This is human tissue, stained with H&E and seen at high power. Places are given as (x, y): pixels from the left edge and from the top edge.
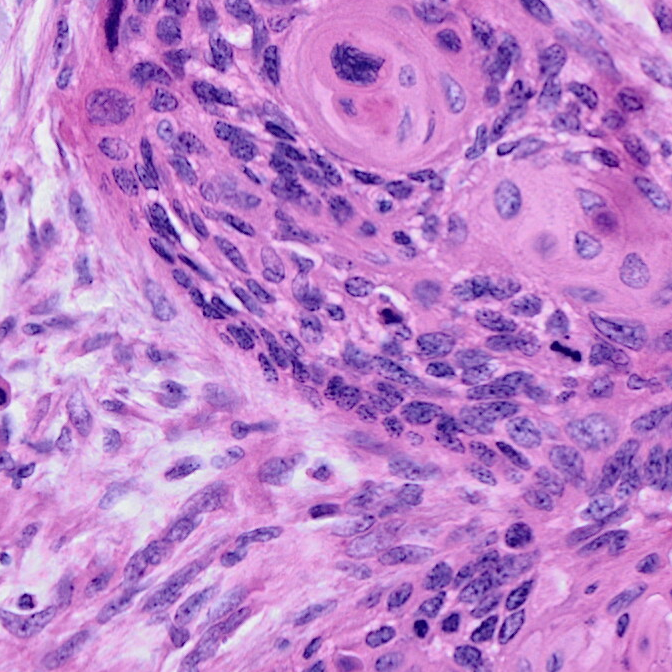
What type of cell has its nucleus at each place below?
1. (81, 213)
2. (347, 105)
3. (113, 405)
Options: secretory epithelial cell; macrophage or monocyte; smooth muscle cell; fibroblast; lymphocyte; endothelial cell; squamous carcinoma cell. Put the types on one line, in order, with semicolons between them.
fibroblast; squamous carcinoma cell; fibroblast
